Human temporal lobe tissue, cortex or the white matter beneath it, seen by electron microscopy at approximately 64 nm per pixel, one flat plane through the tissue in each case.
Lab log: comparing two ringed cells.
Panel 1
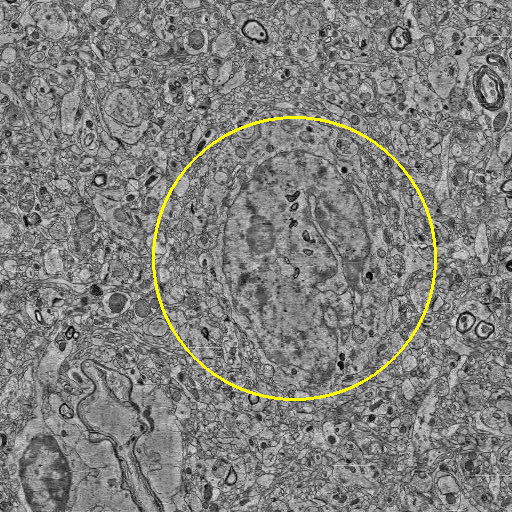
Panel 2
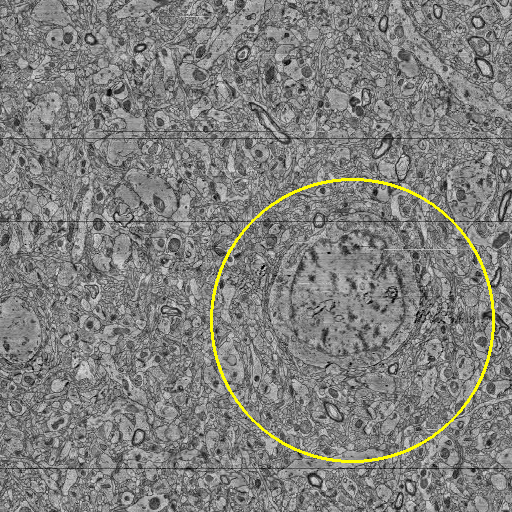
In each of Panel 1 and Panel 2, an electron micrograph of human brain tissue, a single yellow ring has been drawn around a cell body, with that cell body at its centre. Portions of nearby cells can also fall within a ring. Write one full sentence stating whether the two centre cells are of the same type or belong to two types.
The cells at the ring centres in Panel 1 and Panel 2 are of the same type.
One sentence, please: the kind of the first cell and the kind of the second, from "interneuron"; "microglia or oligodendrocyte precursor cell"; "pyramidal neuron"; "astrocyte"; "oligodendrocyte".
The cell in the first picture is an interneuron, and so is the one in the second.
